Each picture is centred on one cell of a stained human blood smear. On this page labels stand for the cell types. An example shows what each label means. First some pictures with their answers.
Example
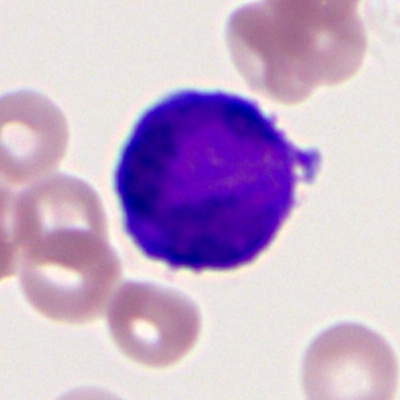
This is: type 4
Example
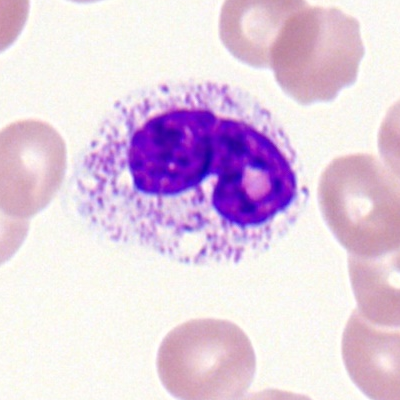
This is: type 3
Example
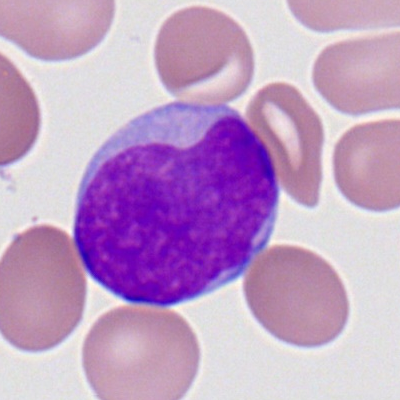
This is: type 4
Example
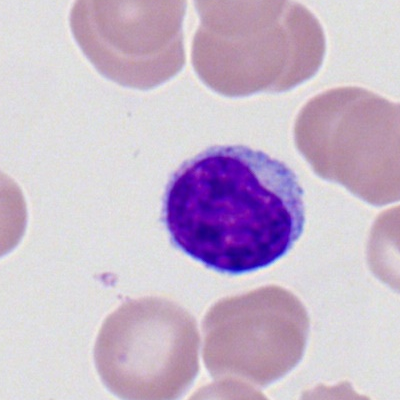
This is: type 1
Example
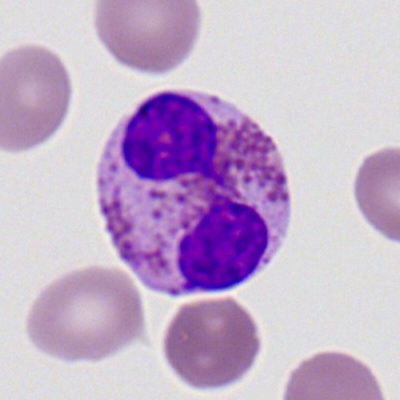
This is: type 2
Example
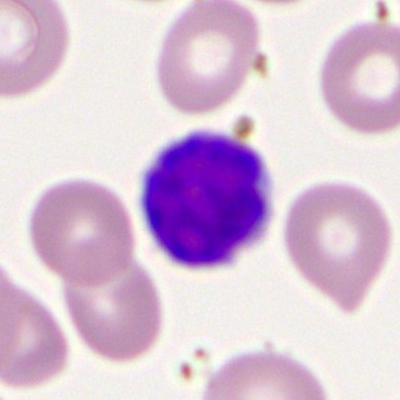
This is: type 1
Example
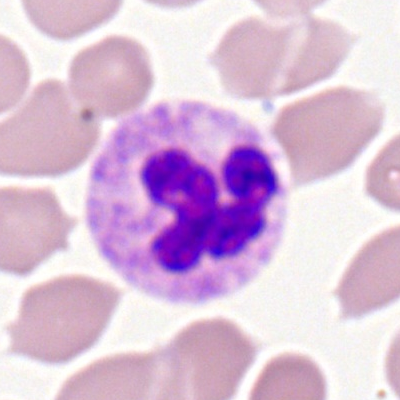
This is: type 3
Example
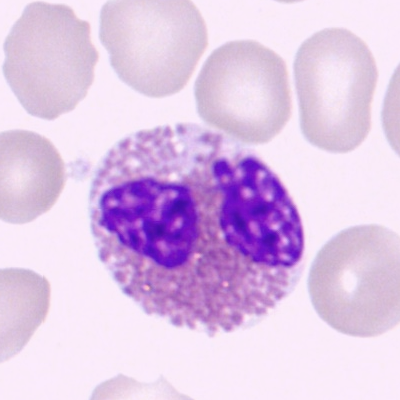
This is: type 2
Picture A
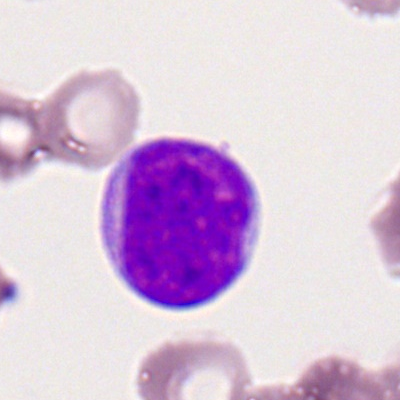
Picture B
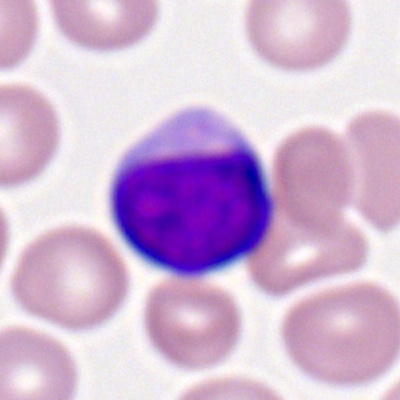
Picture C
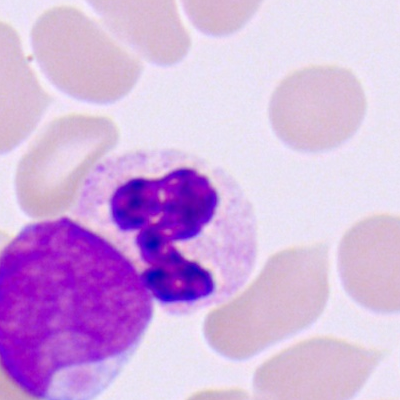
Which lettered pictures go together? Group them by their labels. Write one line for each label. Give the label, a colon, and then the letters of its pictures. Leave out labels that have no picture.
type 4: A
type 3: C
type 1: B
